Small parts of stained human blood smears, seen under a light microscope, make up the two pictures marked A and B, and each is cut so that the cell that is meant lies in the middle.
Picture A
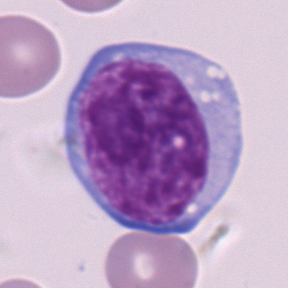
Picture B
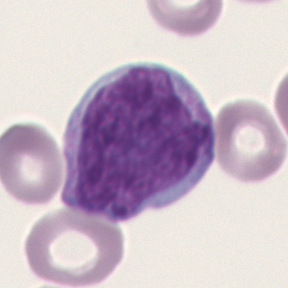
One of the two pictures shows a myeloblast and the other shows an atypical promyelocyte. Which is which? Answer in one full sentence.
Picture B shows an atypical promyelocyte, while picture A shows a myeloblast.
